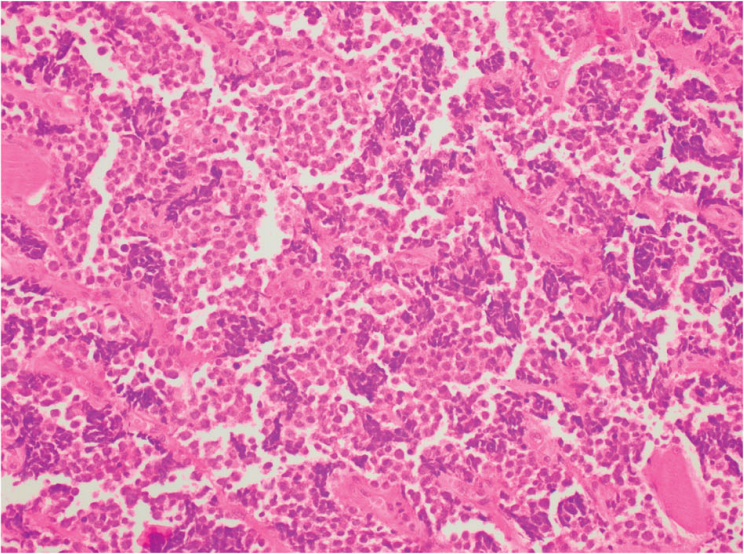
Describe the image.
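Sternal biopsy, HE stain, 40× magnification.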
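This is a tumour made of small blue round cells, packed in sheets and nests. Thin pink strands of fibrous tissue run between the nests, with clear clefts where the tissue has pulled apart.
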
